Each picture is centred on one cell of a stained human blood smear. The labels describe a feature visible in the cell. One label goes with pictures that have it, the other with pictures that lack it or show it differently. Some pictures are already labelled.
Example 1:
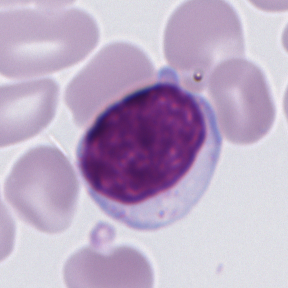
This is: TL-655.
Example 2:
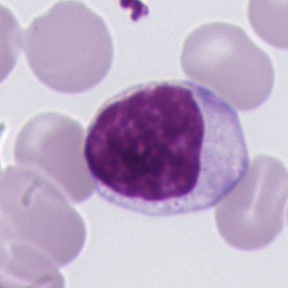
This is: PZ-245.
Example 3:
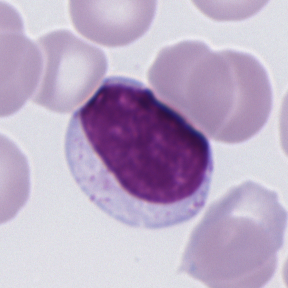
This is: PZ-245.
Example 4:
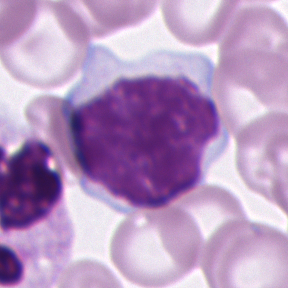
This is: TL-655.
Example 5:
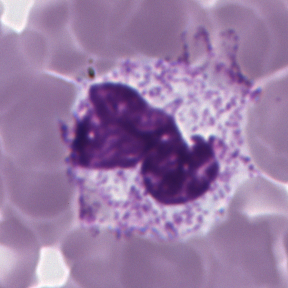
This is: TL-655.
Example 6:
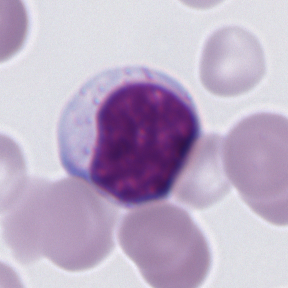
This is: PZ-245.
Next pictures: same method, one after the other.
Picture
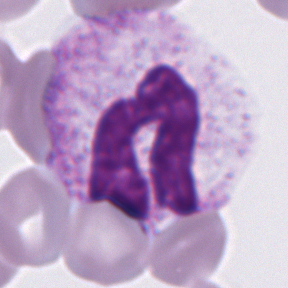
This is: PZ-245.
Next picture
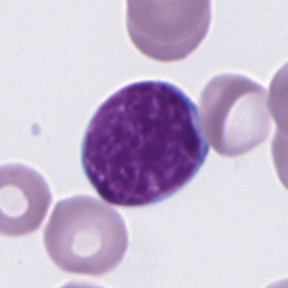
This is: PZ-245.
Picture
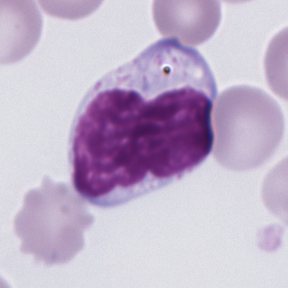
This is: PZ-245.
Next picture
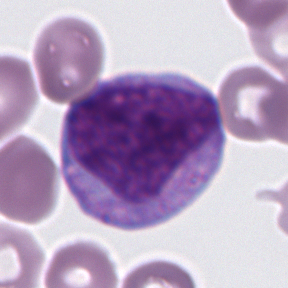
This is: PZ-245.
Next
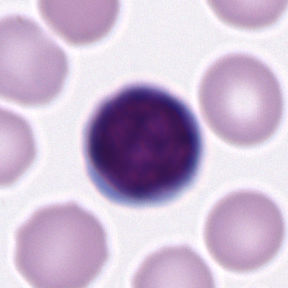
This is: PZ-245.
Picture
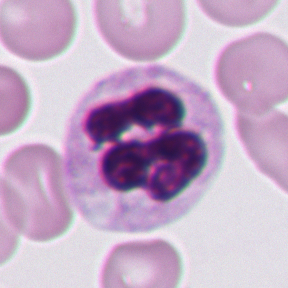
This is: PZ-245.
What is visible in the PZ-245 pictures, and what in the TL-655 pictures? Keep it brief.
PZ-245: smooth outline; TL-655: ragged outline or projections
